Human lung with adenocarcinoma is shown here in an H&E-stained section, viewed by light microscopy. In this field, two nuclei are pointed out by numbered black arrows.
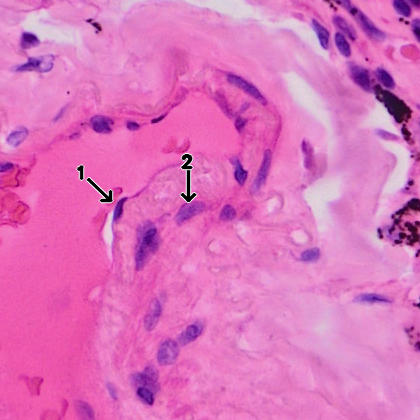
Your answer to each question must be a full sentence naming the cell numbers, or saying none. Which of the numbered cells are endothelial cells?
Across all the numbered cells, only number 1 is an endothelial cell.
